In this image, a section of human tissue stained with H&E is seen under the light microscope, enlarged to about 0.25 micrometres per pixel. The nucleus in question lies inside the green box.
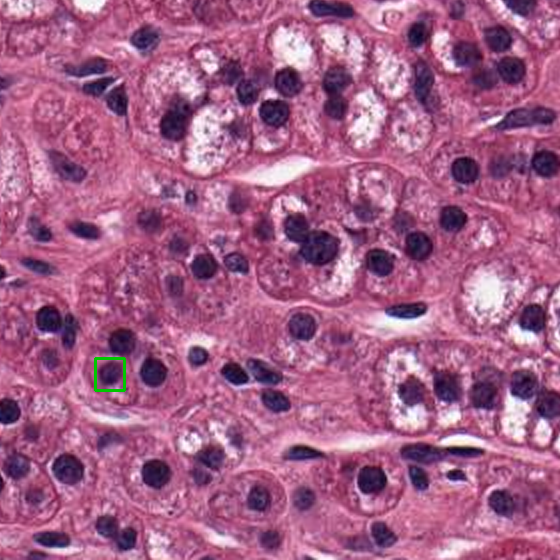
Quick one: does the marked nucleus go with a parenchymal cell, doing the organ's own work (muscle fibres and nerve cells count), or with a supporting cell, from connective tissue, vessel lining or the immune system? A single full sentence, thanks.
The marked nucleus is enclosed by a parenchymal cell, namely an adrenal cortical cell.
